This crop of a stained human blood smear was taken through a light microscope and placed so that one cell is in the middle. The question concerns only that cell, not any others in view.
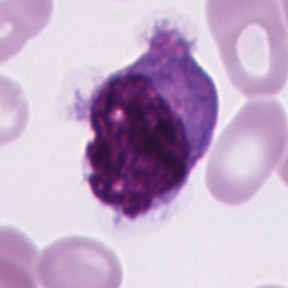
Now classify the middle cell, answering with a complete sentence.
Standing at the centre of this crop is a monocyte.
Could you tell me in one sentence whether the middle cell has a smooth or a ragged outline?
The cell membrane follows an uneven contour, either ragged or bearing projections.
